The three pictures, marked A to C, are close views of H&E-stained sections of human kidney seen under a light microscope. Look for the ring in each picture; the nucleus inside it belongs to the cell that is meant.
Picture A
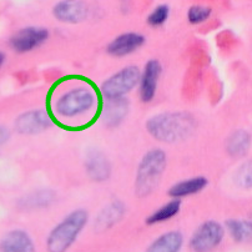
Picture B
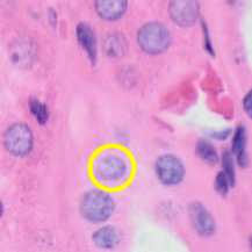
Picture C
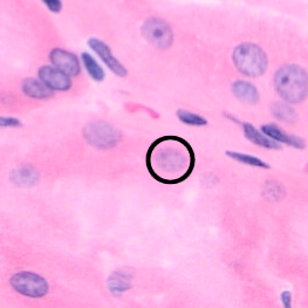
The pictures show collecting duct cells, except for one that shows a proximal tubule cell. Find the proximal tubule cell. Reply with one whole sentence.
Picture C is the one that shows the proximal tubule cell.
